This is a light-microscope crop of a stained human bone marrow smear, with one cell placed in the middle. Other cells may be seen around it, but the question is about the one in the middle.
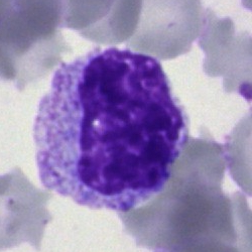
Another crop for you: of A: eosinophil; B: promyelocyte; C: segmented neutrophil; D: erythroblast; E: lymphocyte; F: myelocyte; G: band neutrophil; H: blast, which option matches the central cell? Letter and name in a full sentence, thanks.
Option F is the correct one; it names the central cell as a myelocyte.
